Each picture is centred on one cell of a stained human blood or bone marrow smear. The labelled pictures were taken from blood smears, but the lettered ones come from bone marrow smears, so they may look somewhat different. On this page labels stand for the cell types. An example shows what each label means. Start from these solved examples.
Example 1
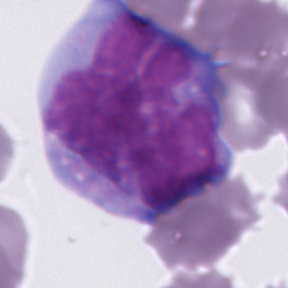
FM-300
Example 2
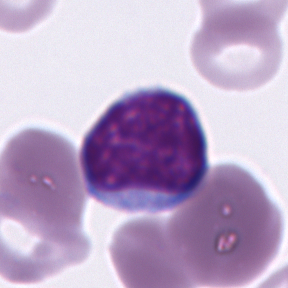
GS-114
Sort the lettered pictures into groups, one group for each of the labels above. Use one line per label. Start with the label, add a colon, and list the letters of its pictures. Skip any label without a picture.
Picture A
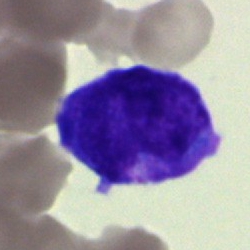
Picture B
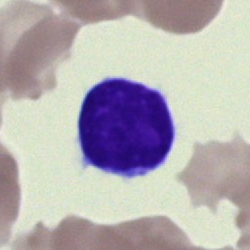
FM-300: A
GS-114: B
